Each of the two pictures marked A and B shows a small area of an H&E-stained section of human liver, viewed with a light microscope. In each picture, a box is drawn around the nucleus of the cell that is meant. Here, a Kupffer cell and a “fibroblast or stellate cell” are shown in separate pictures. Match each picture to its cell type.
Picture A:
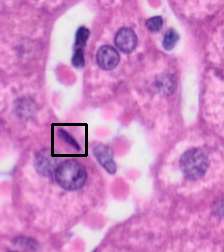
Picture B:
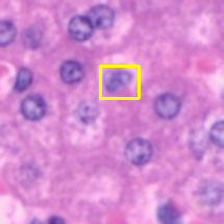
A: fibroblast or stellate cell
B: Kupffer cell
